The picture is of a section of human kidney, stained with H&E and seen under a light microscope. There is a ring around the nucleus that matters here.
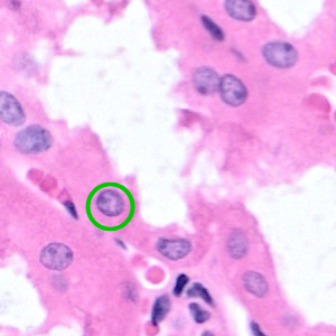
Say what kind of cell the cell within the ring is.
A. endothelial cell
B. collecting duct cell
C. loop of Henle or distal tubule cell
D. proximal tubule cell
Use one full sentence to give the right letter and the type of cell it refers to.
Here the cell within the ring is a proximal tubule cell; pick option D.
